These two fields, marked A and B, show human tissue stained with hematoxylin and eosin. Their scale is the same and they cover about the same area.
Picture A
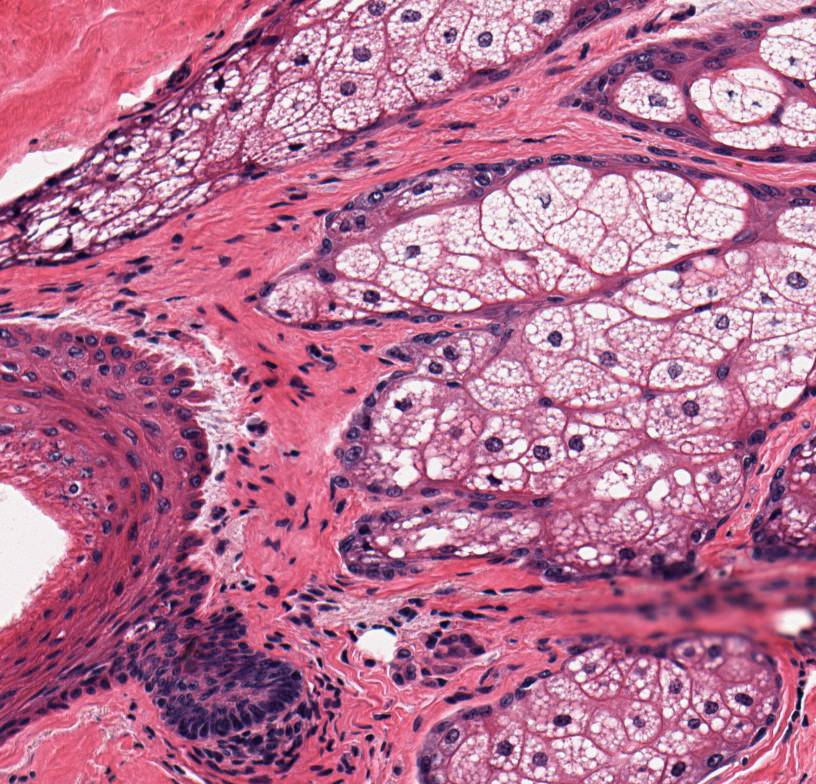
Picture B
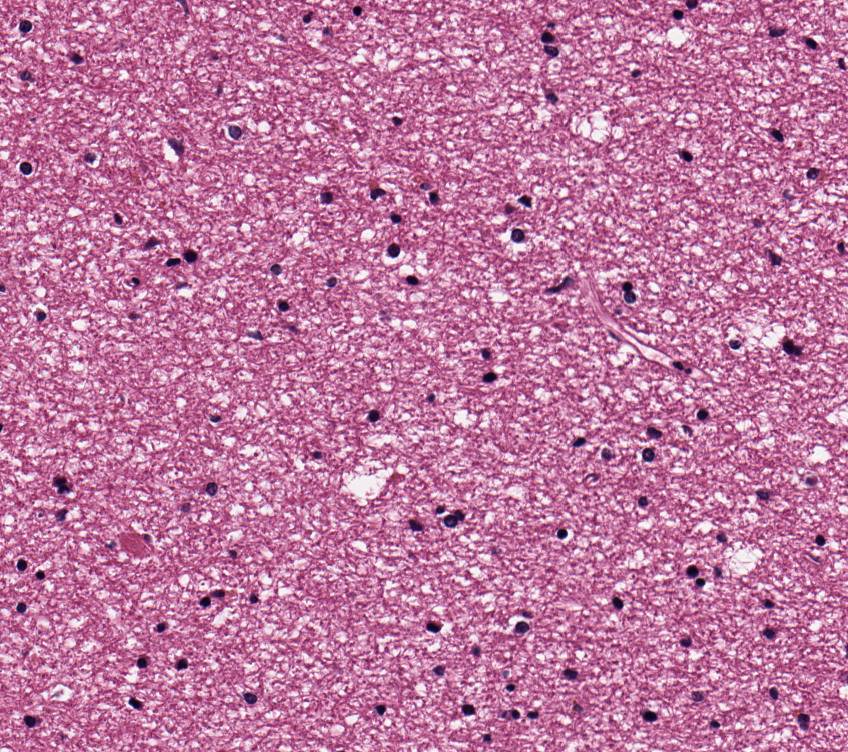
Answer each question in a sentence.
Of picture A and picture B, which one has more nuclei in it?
There are more nuclei in picture A.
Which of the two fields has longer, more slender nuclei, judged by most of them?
It is picture A whose nuclei are the more elongated.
